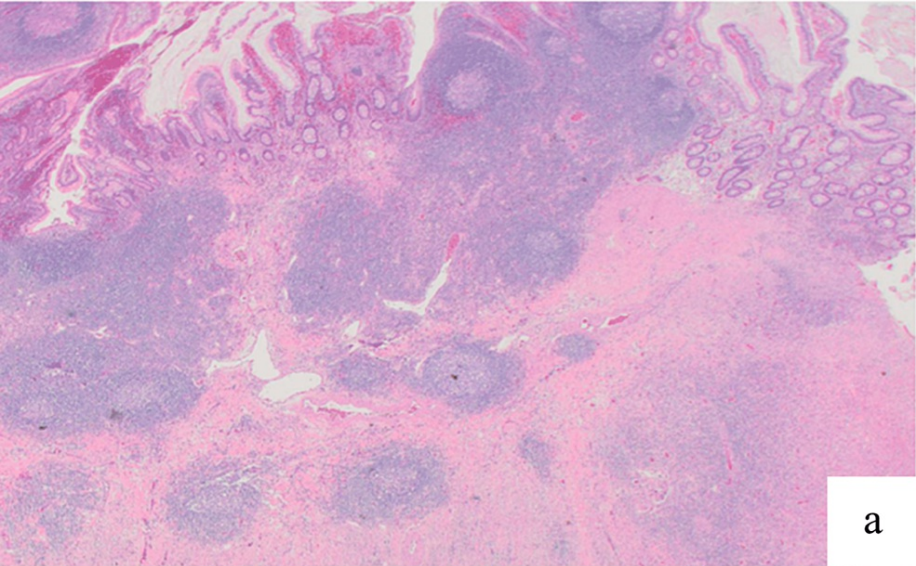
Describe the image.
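Low-power section of bowel wall in which the intestinal mucosa with its regular tubular glandular crypts runs along the top edge, while beneath it the wall is taken over by a dense, deep purple infiltrate of lymphoid cells. The infiltrate forms confluent sheets and rounded nodular aggregates, several with paler centres, separated by paler pink stroma. Toward the right, a large pale pink area with few nuclei extends from beneath the mucosa into the deeper wall, bordered by the dark cellular infiltrate. Scattered small vessels with clear lumens lie among the aggregates. Individual nuclear detail is not resolved at this magnification.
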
